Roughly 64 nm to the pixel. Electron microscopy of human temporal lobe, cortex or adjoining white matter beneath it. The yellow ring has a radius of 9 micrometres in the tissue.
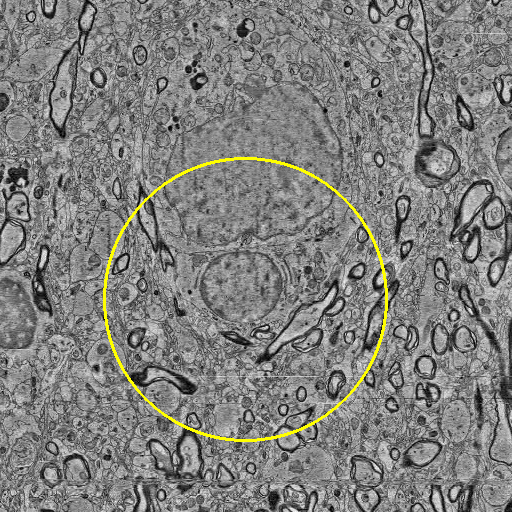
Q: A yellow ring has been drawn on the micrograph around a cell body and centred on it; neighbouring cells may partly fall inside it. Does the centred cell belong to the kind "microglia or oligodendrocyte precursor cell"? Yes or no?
Yes, it belongs to that kind.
